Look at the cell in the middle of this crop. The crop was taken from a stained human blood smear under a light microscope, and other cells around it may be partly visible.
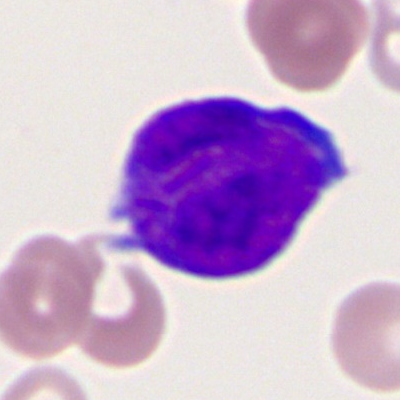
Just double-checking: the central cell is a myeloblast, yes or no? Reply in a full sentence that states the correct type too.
Yes, the cell positioned in the middle is a myeloblast.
